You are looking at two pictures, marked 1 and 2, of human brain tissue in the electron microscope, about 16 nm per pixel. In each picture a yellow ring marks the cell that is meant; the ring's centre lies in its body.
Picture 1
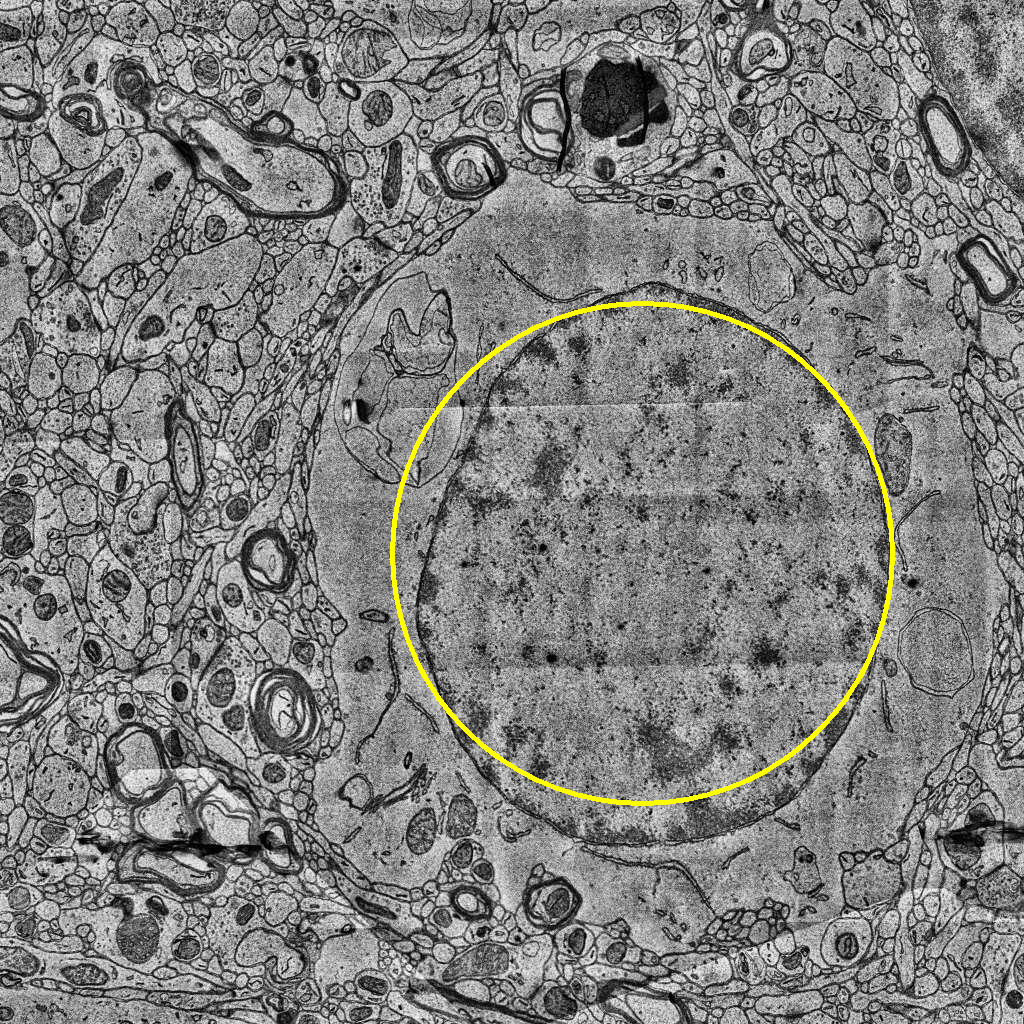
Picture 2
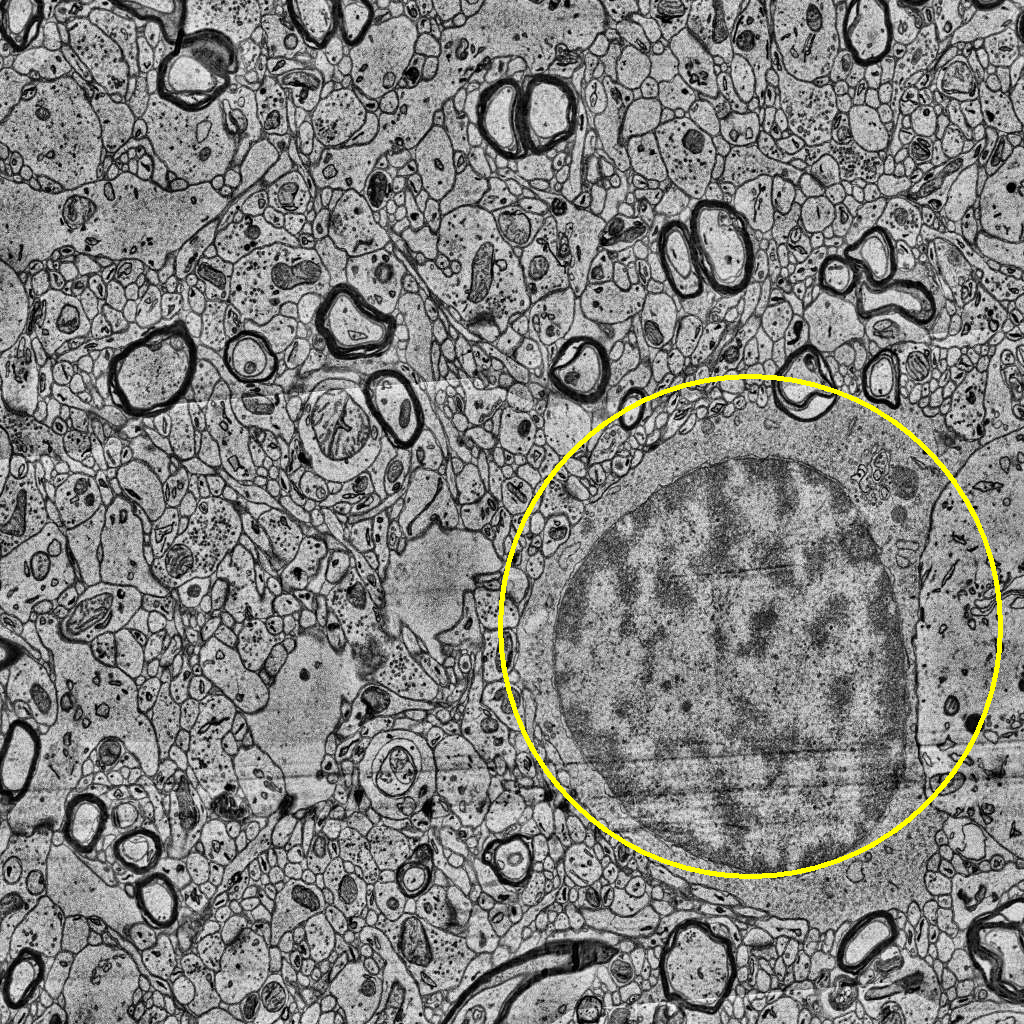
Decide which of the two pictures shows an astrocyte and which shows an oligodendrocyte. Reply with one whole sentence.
Picture 2 shows an oligodendrocyte, while picture 1 shows an astrocyte.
